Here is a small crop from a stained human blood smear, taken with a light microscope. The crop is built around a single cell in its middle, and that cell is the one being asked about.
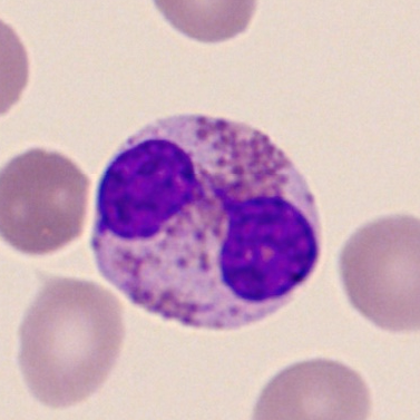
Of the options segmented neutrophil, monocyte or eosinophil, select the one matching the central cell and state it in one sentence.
In the central position of this crop, the cell is an eosinophil.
